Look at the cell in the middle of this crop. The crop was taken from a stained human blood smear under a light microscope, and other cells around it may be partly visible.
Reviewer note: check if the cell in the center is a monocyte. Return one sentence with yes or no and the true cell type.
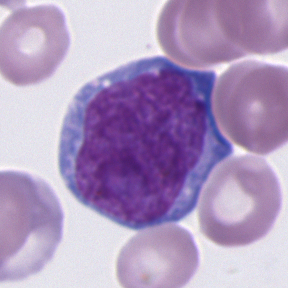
No, this one is a blast; it is not a monocyte.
